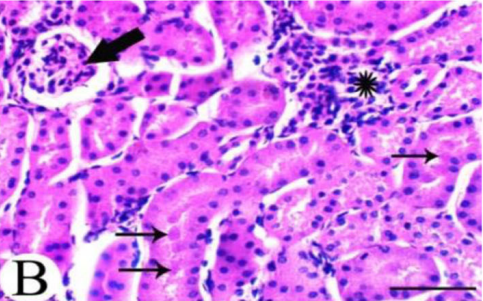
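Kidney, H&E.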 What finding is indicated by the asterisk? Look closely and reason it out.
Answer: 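A dense cluster of small dark round nuclei lies between the tubules at the asterisk. The cluster displaces the normal pink tubular tissue. On this evidence: round cells infiltration.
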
